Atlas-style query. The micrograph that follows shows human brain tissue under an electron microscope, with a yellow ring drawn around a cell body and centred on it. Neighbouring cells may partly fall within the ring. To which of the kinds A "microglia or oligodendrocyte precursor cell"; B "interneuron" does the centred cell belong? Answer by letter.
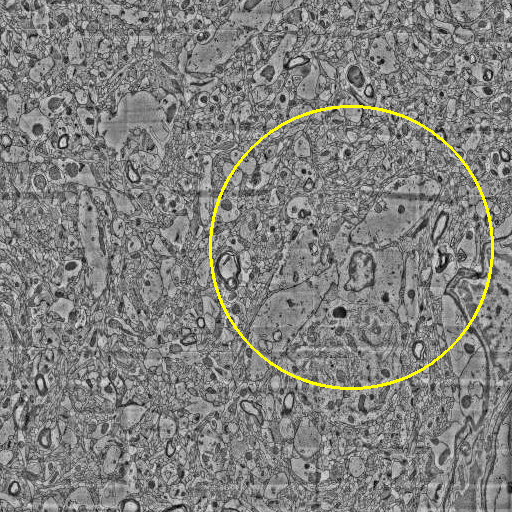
A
